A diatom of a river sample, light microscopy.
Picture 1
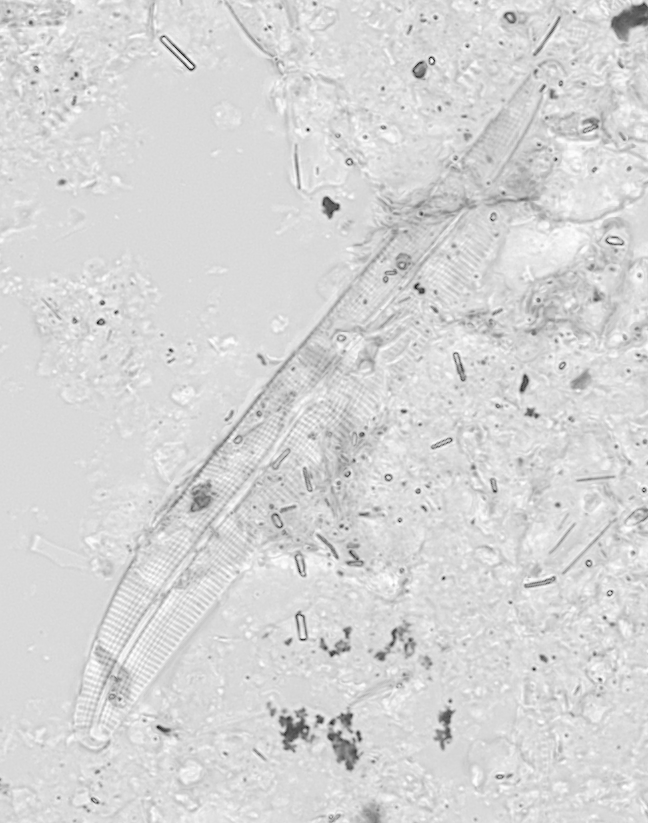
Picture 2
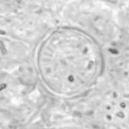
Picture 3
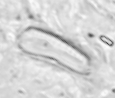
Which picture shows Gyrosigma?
Picture 1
